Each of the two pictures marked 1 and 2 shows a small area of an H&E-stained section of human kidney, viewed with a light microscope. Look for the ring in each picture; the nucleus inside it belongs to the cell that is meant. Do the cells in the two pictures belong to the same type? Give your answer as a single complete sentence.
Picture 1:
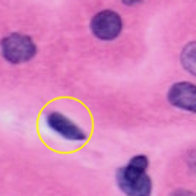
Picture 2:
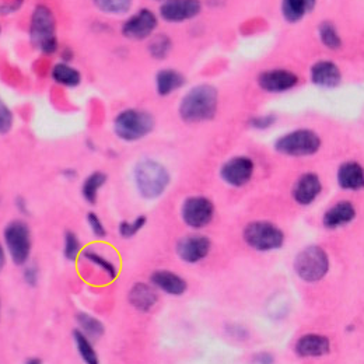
Yes, both are endothelial cells.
